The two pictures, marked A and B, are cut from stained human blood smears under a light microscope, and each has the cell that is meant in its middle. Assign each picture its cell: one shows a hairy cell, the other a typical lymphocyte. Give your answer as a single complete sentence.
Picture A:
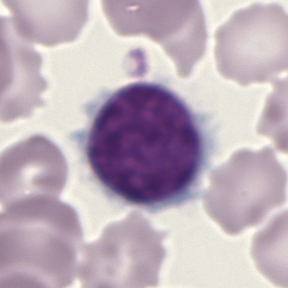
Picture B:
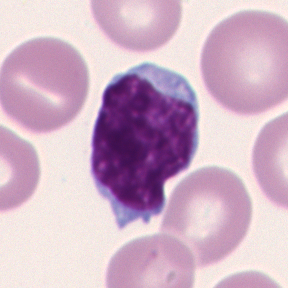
Picture B shows a typical lymphocyte, while picture A shows a hairy cell.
